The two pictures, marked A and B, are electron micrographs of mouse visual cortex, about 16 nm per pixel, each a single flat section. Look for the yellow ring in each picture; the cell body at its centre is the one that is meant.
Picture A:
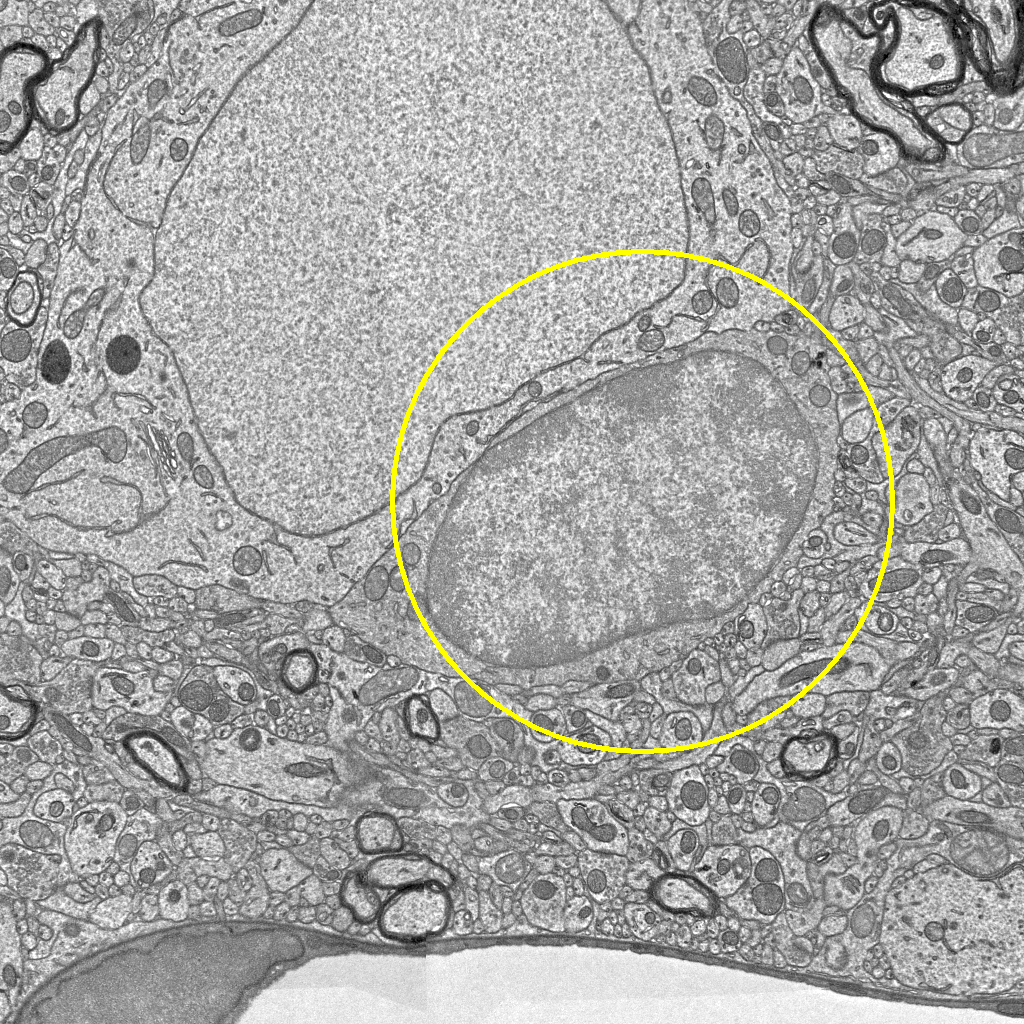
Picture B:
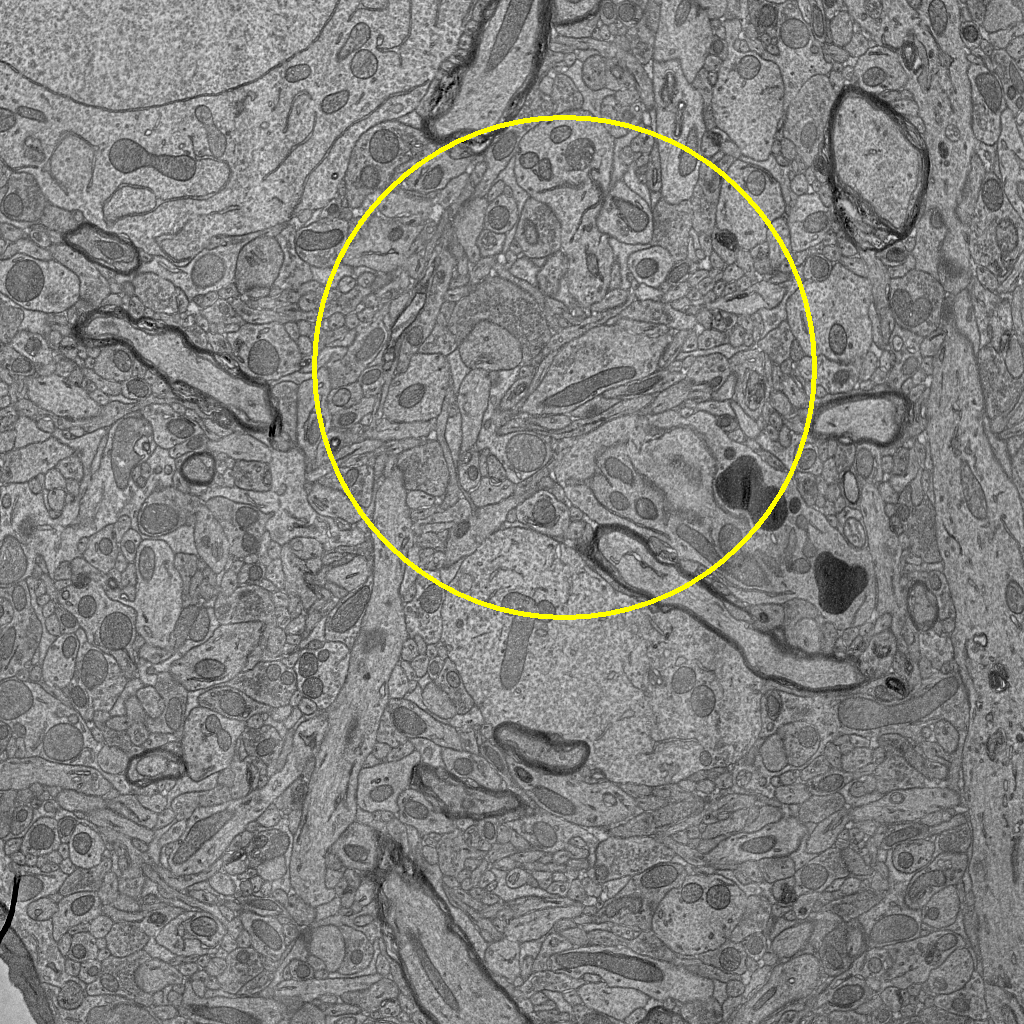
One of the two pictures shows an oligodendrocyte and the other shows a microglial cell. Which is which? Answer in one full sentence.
In picture A the cell is an oligodendrocyte; in picture B, a microglial cell.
